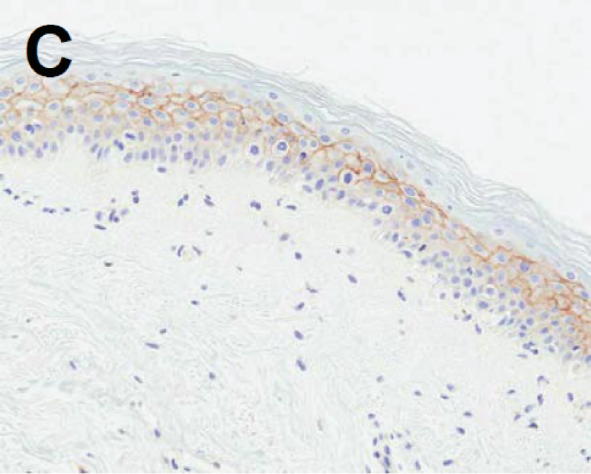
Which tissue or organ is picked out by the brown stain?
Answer: Epidermis.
